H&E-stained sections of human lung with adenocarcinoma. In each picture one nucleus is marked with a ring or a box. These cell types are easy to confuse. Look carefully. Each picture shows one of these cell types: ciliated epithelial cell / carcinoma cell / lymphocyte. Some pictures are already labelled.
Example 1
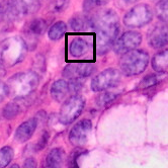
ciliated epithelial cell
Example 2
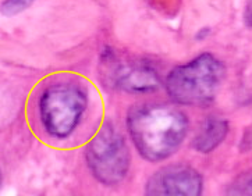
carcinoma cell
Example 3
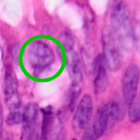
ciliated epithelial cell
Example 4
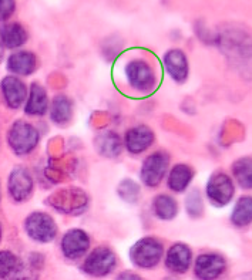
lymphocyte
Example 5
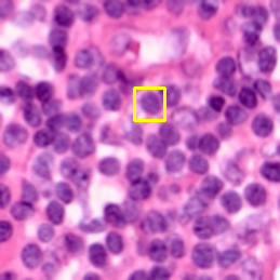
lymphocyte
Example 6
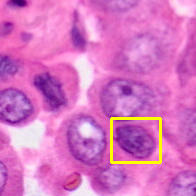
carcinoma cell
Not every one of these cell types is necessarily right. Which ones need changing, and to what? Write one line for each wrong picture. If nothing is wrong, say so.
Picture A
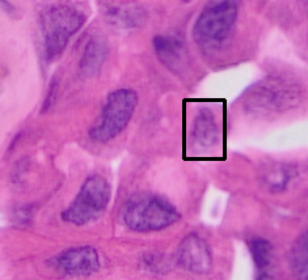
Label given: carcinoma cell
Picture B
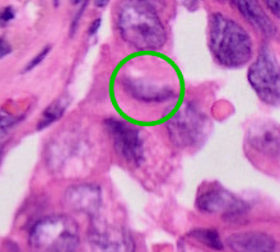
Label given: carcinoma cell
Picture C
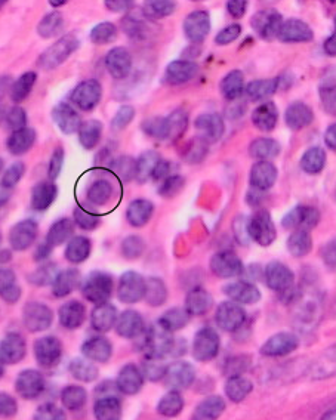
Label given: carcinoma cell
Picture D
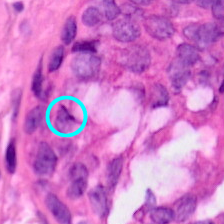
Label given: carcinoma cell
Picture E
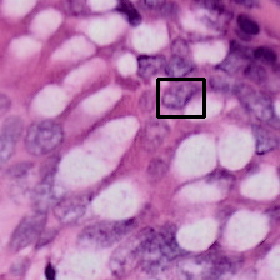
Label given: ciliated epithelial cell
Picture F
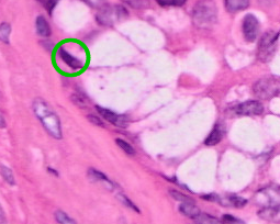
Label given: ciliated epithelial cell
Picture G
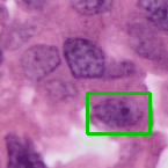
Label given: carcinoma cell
C should be lymphocyte, not carcinoma cell
D should be ciliated epithelial cell, not carcinoma cell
